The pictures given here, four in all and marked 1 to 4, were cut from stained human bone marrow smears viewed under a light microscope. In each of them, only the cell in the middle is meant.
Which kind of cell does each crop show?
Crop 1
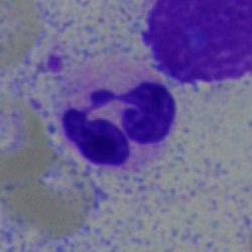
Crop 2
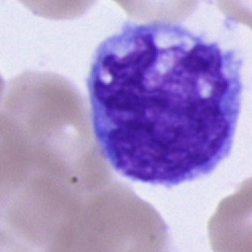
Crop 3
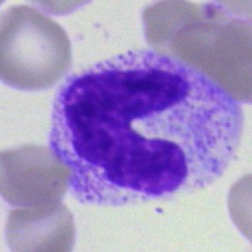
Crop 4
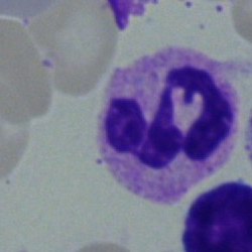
1: segmented neutrophil
2: monocyte
3: band neutrophil
4: segmented neutrophil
